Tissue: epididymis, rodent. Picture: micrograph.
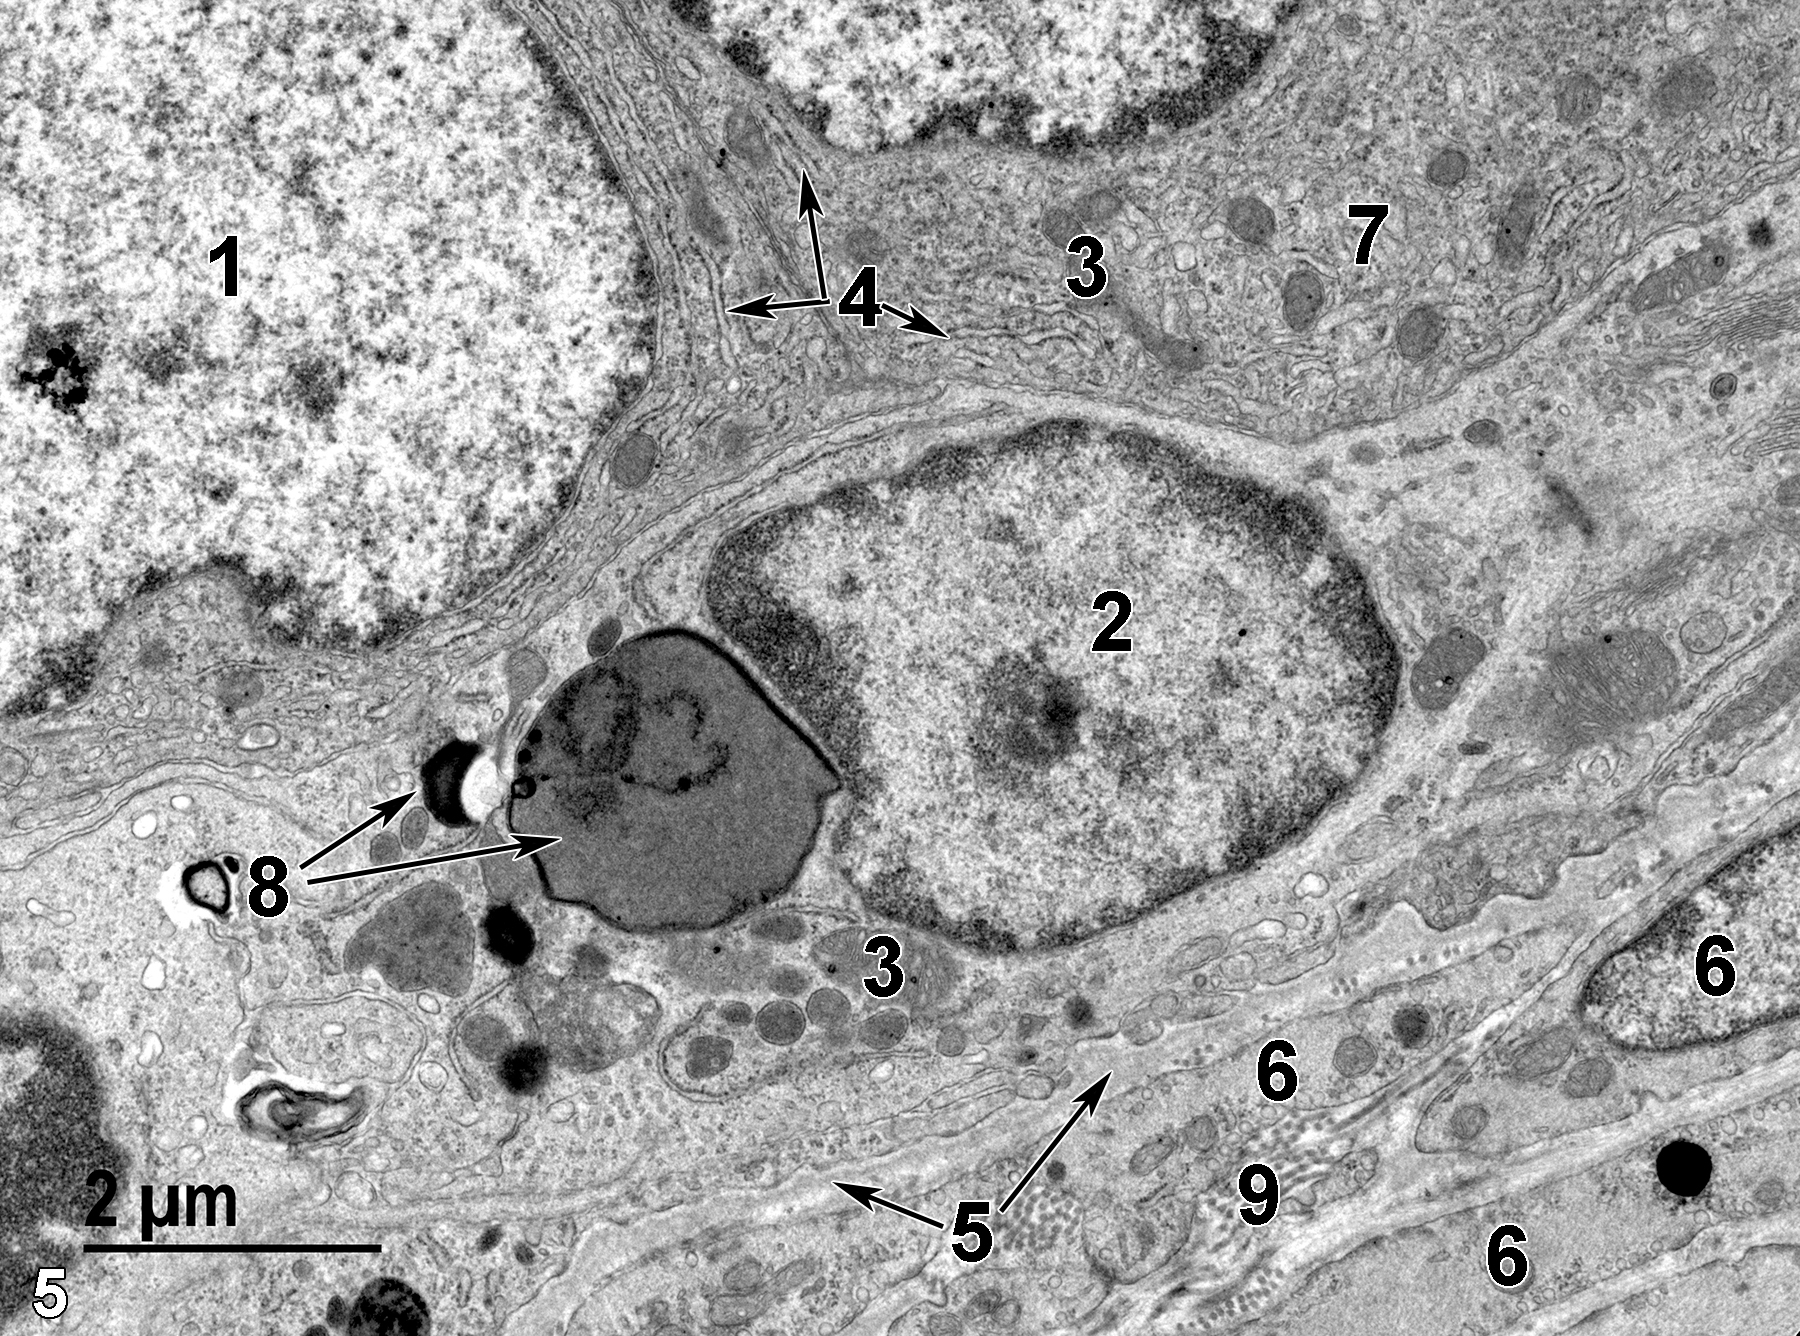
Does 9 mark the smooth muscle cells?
No. The collagen fibers.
